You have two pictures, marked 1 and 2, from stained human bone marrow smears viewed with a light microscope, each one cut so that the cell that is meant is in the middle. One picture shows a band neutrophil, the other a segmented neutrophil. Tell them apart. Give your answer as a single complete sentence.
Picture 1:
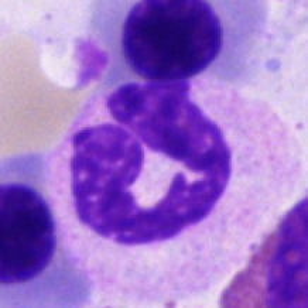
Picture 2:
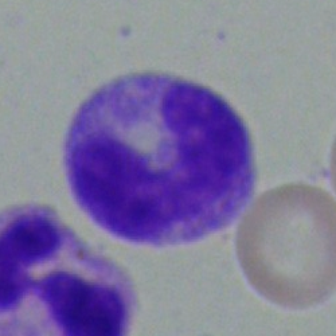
The cell in picture 1 is a segmented neutrophil, and the one in picture 2 is a band neutrophil.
